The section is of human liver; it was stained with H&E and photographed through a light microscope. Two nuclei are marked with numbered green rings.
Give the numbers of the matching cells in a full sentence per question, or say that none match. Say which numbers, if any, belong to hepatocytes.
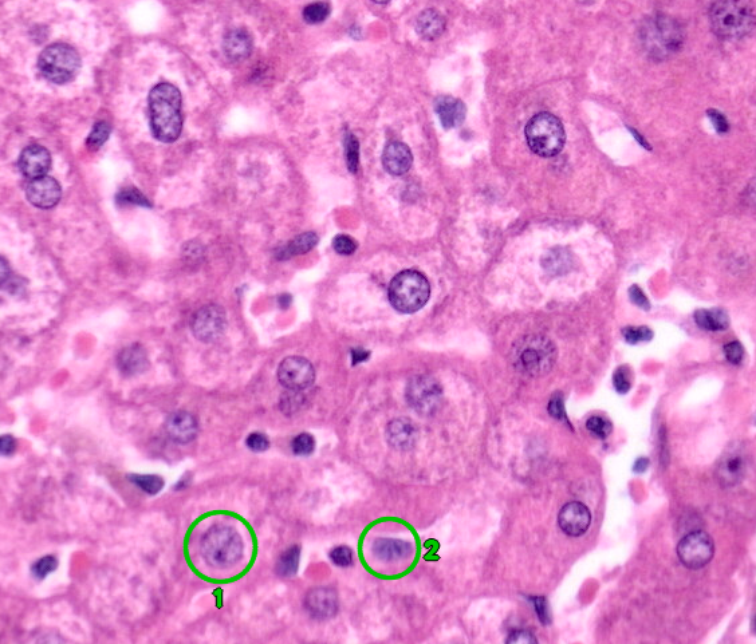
Cell 1 is the single numbered cell that is a hepatocyte.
